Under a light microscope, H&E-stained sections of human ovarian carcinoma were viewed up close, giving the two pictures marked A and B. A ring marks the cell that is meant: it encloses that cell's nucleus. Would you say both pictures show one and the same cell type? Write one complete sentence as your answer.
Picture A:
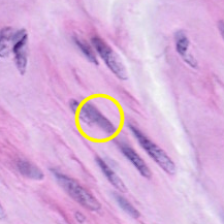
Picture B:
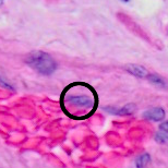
No, they differ: the cell is a smooth muscle cell in picture A and an endothelial cell in picture B.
